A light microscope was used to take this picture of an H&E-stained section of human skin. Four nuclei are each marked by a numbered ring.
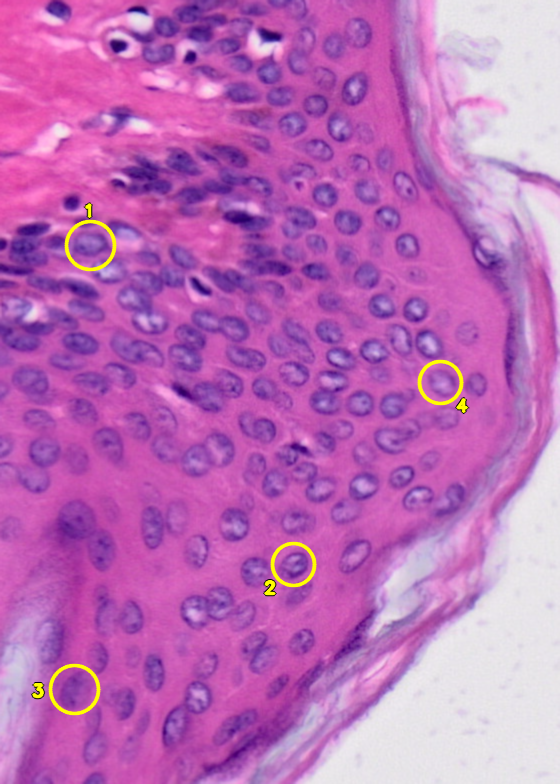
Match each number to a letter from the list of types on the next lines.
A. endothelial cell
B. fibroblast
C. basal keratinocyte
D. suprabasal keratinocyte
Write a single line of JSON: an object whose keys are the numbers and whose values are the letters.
{"1": "C", "2": "D", "3": "D", "4": "D"}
